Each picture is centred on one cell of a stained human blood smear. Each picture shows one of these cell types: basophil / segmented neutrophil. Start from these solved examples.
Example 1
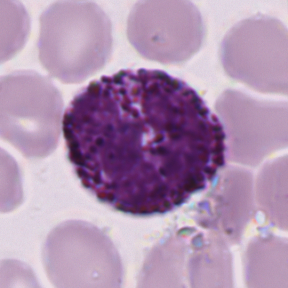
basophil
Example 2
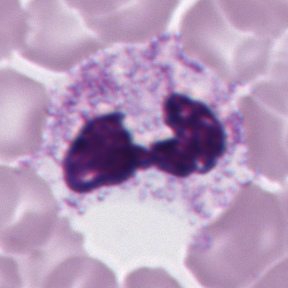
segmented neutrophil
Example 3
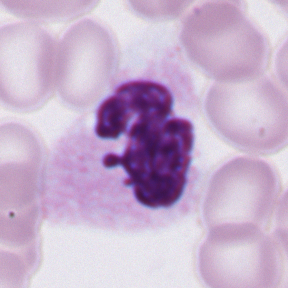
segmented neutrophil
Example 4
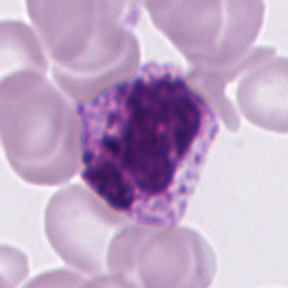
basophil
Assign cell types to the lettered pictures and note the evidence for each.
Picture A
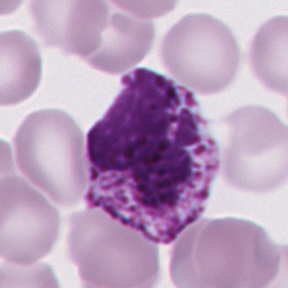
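Label: basophil. Coarse dark purple granules are scattered through the cytoplasm.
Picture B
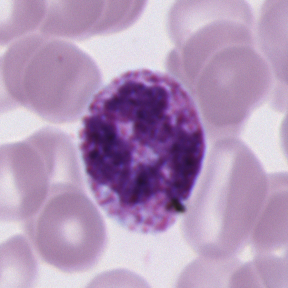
Label: basophil. Coarse reddish-purple granules are scattered through the cytoplasm.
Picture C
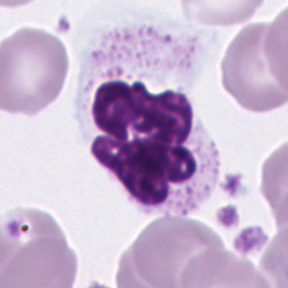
Label: segmented neutrophil. Fine violet granules are scattered through the cytoplasm.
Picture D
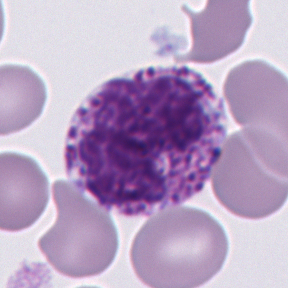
Label: basophil. The granules are coarse and dark purple-black.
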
